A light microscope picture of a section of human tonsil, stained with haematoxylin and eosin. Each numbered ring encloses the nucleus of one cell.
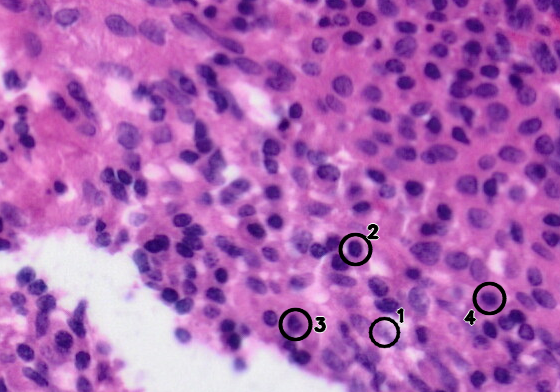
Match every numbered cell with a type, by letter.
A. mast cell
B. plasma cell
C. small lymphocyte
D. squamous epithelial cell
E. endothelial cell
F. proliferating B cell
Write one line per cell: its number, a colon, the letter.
1: D
2: B
3: B
4: B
